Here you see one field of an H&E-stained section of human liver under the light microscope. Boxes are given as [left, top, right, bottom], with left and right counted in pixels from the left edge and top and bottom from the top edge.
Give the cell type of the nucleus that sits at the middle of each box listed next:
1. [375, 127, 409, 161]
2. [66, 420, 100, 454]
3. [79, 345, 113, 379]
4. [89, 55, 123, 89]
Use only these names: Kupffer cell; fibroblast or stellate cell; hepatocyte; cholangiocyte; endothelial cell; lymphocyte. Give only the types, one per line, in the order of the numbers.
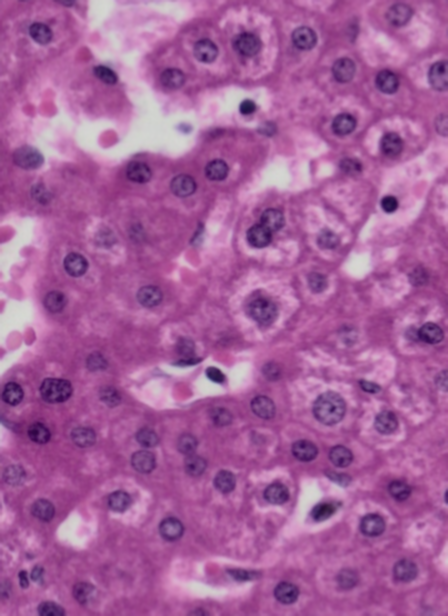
hepatocyte
hepatocyte
hepatocyte
fibroblast or stellate cell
